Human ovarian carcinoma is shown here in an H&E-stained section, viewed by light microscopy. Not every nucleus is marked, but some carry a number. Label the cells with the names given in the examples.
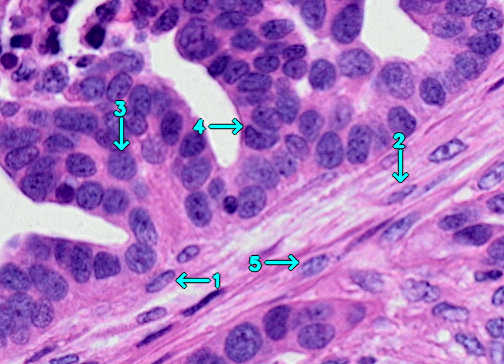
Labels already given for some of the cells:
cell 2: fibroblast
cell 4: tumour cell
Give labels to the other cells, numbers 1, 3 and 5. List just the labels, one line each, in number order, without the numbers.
fibroblast
tumour cell
fibroblast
